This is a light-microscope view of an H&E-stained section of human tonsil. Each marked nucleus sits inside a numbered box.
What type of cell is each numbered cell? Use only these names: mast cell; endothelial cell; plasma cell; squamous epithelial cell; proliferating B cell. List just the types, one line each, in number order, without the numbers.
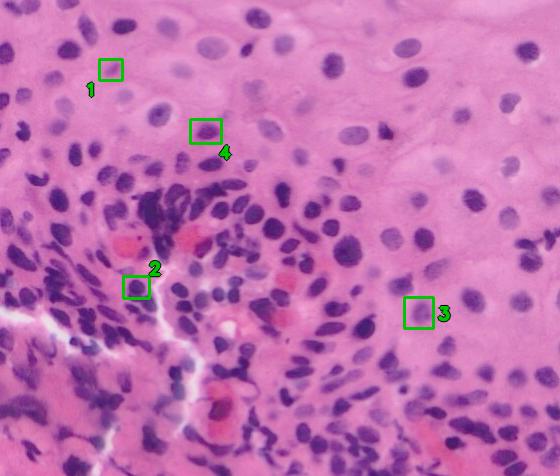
squamous epithelial cell
plasma cell
squamous epithelial cell
squamous epithelial cell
